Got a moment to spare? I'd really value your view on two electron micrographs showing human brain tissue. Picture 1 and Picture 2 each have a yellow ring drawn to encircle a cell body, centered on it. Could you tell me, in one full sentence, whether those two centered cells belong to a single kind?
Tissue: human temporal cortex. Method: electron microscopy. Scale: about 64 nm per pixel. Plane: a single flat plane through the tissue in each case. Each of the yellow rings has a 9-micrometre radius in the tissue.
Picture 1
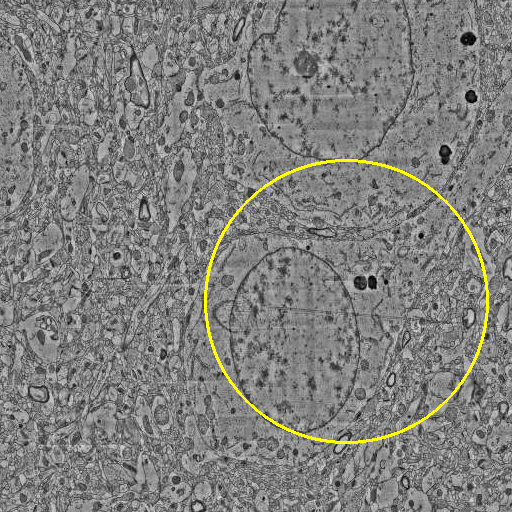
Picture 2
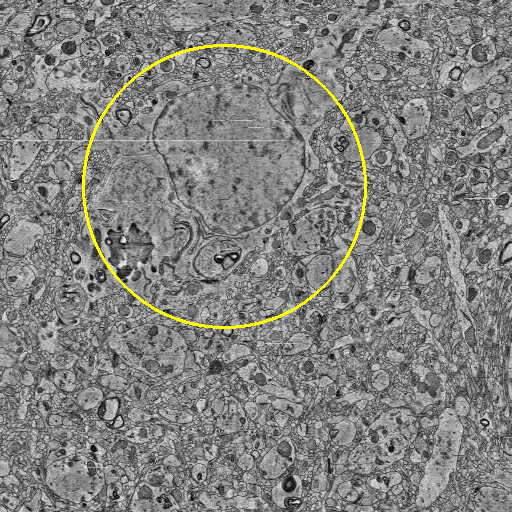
No, the two centered cells in Picture 1 and Picture 2 are of two kinds.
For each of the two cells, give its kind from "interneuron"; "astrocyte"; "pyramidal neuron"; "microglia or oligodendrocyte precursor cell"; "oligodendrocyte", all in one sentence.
The first picture has a pyramidal neuron in its ring, the second has an astrocyte.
